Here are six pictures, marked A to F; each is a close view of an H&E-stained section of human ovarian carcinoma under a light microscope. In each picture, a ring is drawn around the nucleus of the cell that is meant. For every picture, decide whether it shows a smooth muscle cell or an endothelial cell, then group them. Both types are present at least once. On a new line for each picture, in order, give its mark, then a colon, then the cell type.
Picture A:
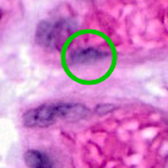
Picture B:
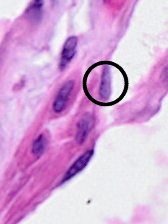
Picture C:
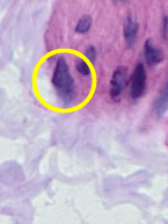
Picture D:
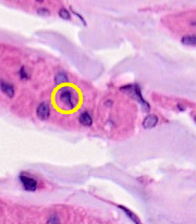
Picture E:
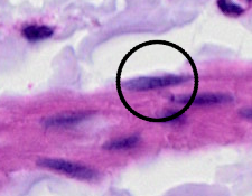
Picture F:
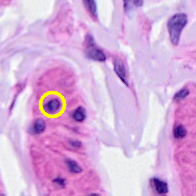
A: endothelial cell
B: endothelial cell
C: smooth muscle cell
D: smooth muscle cell
E: smooth muscle cell
F: smooth muscle cell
